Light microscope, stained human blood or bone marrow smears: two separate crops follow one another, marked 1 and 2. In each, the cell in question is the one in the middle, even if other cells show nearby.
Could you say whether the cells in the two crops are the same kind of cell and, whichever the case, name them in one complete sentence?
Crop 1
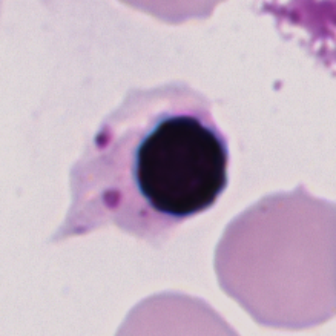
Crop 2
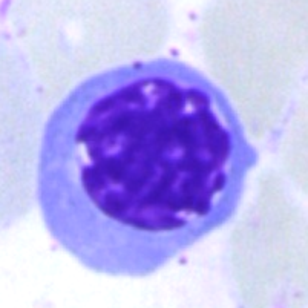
Yes, both crops show erythroblasts as the central cells.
